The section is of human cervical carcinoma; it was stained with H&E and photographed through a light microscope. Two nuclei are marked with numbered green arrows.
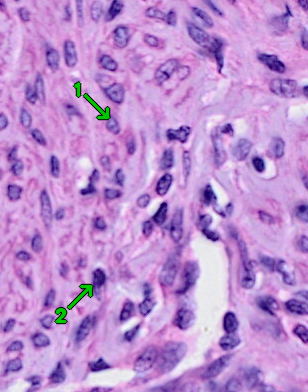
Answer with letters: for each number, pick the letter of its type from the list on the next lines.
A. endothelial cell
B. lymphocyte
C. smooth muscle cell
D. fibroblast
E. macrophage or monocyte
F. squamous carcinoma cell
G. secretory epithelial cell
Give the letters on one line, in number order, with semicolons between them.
C; B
